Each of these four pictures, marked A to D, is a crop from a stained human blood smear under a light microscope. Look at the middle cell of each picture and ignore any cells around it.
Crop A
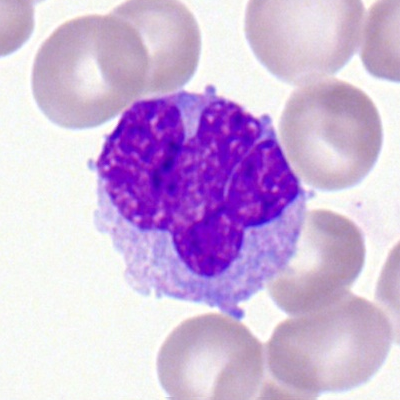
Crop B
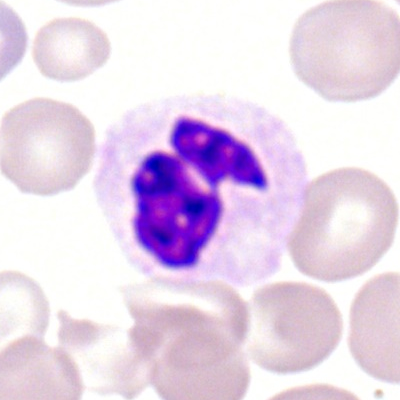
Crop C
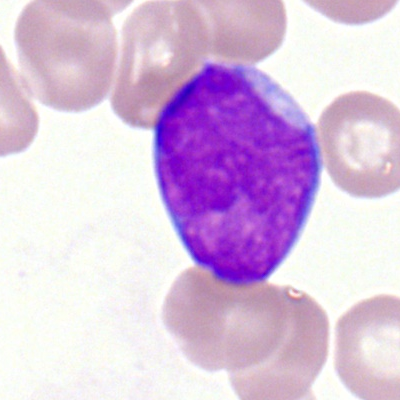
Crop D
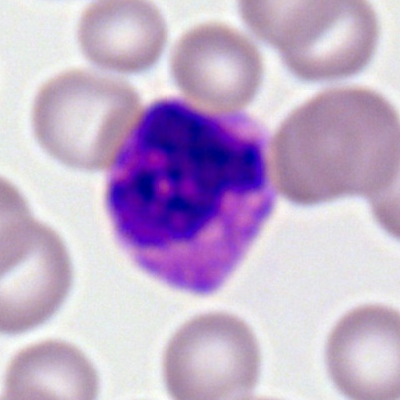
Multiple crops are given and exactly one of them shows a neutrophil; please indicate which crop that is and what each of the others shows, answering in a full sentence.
What crop B shows is a neutrophil, while crop A is a monocyte, crop C is a blast and crop D is a basophil.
